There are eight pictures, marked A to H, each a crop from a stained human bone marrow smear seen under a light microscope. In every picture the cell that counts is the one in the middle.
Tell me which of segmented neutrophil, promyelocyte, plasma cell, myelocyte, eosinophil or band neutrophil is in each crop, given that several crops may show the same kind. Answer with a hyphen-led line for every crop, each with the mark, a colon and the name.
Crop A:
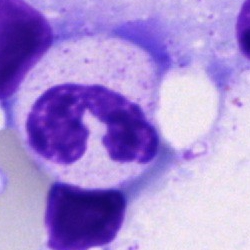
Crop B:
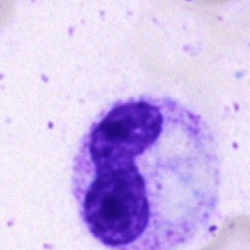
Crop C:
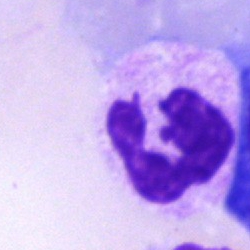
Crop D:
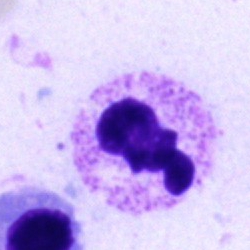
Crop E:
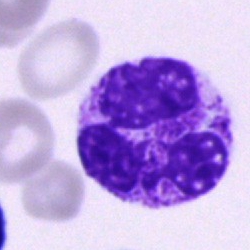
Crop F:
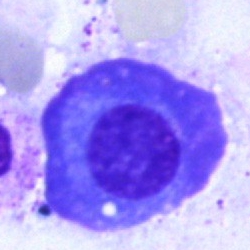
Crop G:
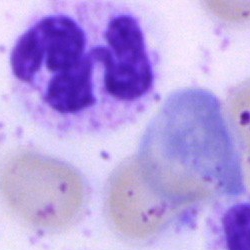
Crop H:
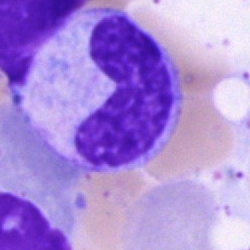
- A: segmented neutrophil
- B: band neutrophil
- C: segmented neutrophil
- D: segmented neutrophil
- E: segmented neutrophil
- F: plasma cell
- G: segmented neutrophil
- H: band neutrophil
